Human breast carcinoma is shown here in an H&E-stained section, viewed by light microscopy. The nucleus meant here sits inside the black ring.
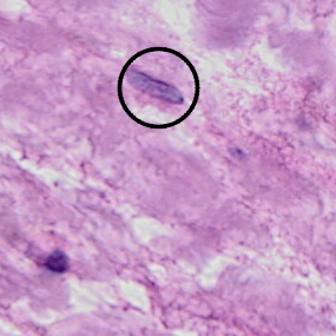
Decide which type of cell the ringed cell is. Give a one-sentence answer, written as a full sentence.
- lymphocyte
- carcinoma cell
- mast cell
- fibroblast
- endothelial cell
In short, the ringed cell on this section is a fibroblast.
